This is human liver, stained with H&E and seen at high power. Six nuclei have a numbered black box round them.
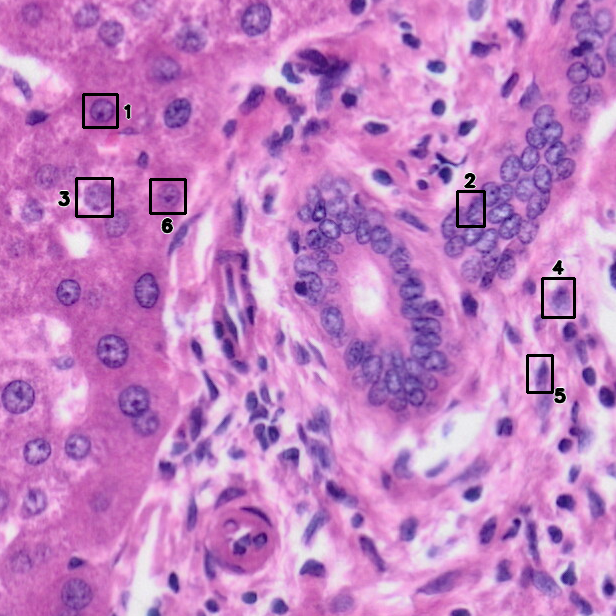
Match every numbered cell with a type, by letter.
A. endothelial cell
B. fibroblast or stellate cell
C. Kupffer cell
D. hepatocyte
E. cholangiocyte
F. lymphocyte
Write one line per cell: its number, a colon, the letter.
1: D
2: E
3: D
4: B
5: B
6: D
